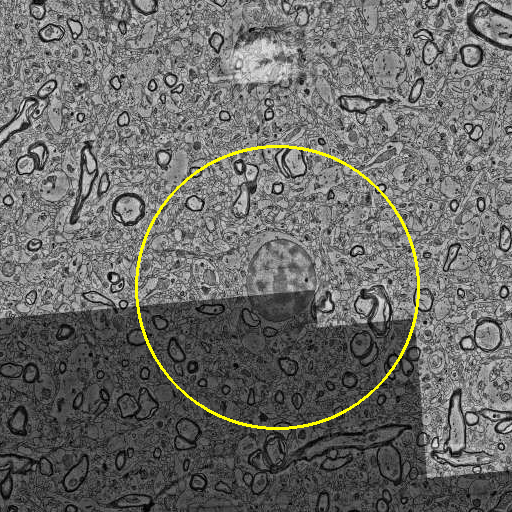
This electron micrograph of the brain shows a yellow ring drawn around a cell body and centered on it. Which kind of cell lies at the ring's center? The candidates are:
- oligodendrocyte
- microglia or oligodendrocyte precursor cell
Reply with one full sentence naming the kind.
The cell lying at the ring's center in this micrograph is an oligodendrocyte.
